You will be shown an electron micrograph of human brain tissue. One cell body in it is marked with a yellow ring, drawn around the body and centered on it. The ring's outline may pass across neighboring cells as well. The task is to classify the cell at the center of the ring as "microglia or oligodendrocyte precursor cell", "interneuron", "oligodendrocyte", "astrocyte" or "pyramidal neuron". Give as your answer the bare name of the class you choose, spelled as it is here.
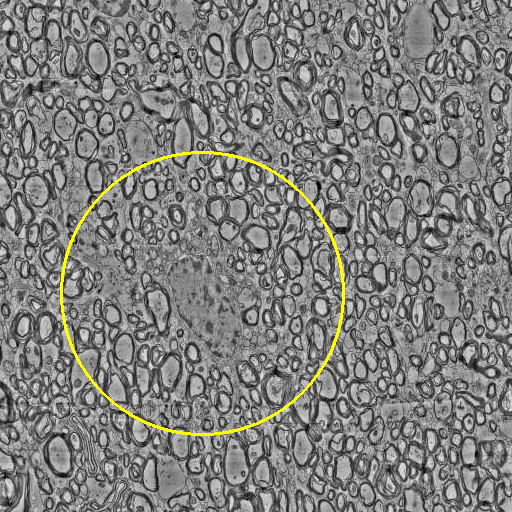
astrocyte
